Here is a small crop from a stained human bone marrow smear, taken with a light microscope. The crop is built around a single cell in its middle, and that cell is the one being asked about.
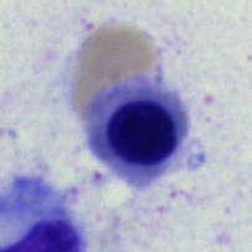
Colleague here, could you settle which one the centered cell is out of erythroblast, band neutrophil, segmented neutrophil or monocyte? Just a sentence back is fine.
The cell at the middle of the frame should be recorded as an erythroblast.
